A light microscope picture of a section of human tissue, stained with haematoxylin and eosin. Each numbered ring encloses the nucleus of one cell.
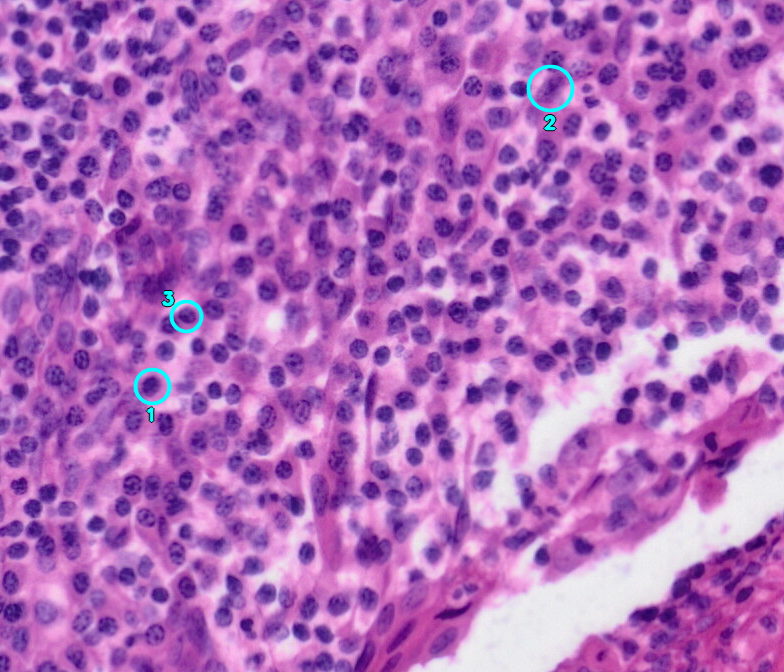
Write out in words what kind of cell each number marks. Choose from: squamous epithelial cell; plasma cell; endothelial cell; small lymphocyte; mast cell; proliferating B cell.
Cells 1 and 3 are plasma cells. Cell 2 is a squamous epithelial cell.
